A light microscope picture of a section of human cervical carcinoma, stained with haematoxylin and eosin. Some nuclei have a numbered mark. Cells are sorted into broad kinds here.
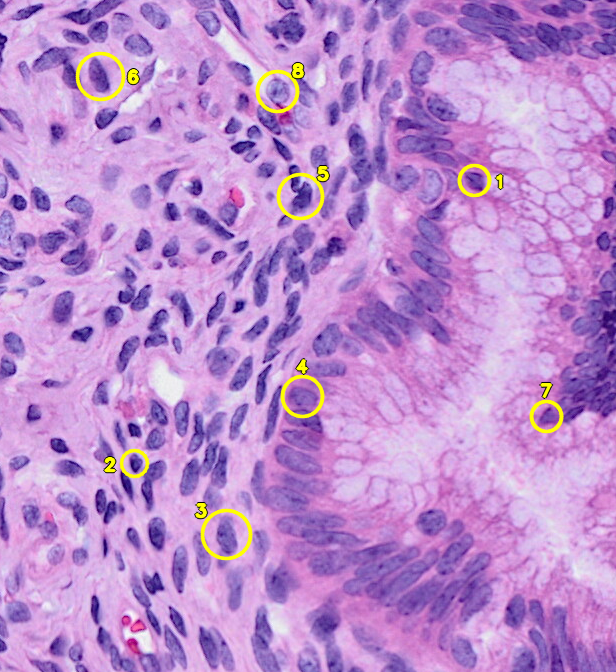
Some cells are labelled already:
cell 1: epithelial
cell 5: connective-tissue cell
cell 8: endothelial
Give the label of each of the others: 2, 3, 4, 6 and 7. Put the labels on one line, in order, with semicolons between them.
connective-tissue cell; connective-tissue cell; epithelial; connective-tissue cell; epithelial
